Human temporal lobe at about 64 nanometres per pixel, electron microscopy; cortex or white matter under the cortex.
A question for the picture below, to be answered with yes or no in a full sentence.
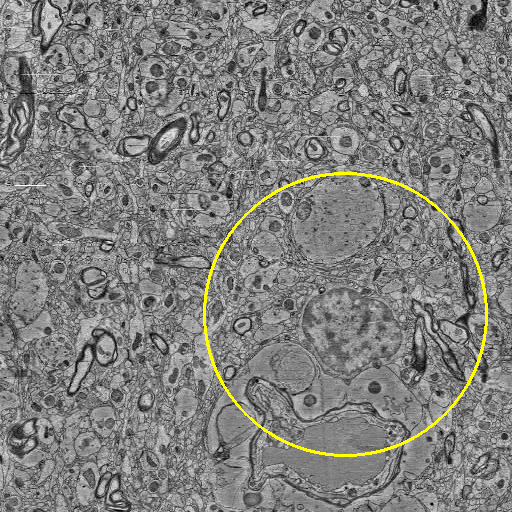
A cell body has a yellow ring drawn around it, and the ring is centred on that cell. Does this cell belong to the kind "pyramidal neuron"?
No, the pictured cell at the ring's centre belongs to another kind.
